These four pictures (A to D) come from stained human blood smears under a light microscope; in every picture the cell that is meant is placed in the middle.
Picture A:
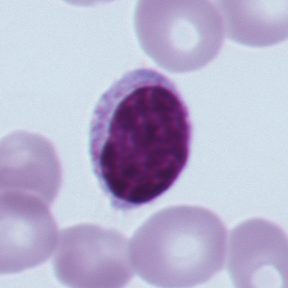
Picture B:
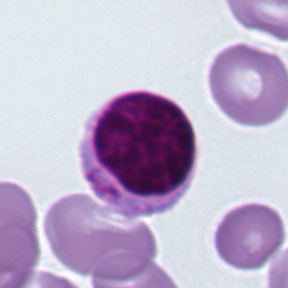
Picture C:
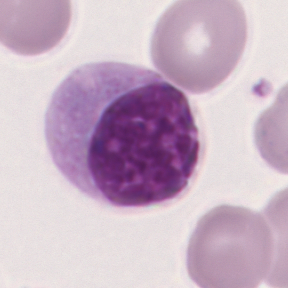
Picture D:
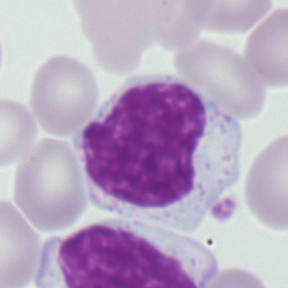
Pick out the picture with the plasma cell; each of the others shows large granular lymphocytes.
C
